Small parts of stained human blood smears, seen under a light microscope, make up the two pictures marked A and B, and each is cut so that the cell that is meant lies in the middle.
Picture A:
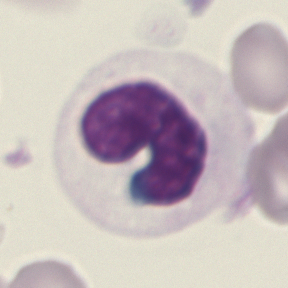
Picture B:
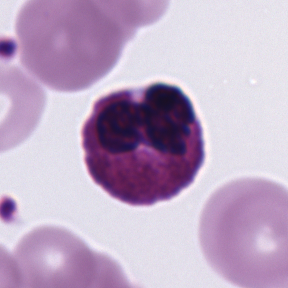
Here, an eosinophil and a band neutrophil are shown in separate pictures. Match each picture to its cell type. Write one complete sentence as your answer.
In picture A the cell is a band neutrophil; in picture B, an eosinophil.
